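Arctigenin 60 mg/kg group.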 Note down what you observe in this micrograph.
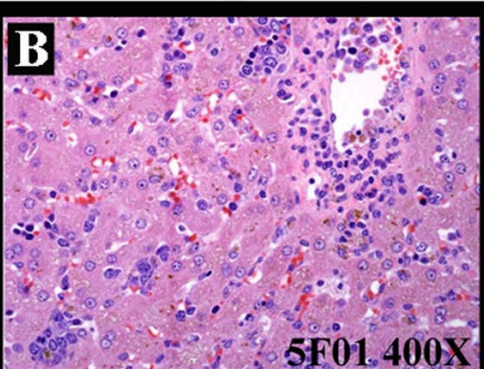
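This is liver tissue with cords of polygonal hepatocytes that have pink granular cytoplasm and round central nuclei with prominent nucleoli. A dense cluster of small cells with dark round nuclei, inflammatory cells, lies beside a vessel, and golden-brown pigment granules are scattered among the hepatocytes. Red blood cells fill the narrow sinusoids between the cords.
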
